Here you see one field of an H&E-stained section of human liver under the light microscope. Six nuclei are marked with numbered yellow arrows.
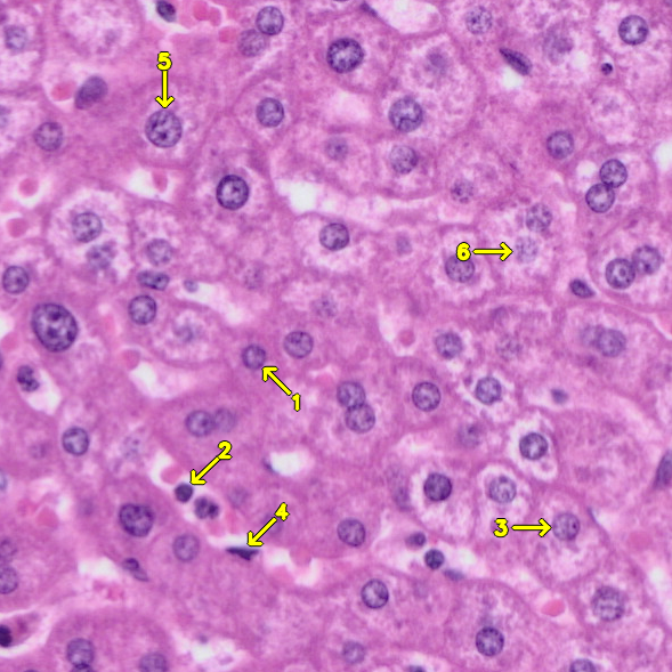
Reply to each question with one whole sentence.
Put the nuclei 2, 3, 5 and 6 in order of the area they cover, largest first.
From largest to smallest, the order is 5, 3, 6, 2.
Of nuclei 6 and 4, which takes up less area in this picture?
It is nucleus 4; nucleus 6 has about 2 times its area.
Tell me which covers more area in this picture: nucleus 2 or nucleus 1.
The larger nucleus is 1, at roughly 1.5 times the area of 2.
